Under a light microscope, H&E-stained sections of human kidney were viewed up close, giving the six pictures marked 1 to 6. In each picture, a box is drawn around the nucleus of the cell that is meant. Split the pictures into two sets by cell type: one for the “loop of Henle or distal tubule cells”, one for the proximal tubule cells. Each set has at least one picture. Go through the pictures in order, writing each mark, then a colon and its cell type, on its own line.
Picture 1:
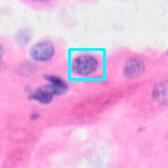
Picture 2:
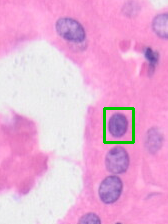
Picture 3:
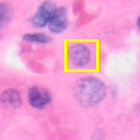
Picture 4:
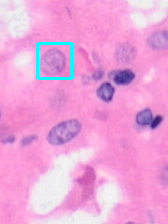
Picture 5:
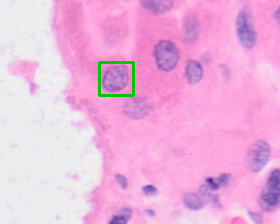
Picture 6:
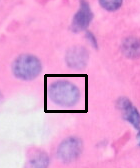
1: loop of Henle or distal tubule cell
2: proximal tubule cell
3: loop of Henle or distal tubule cell
4: proximal tubule cell
5: proximal tubule cell
6: loop of Henle or distal tubule cell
